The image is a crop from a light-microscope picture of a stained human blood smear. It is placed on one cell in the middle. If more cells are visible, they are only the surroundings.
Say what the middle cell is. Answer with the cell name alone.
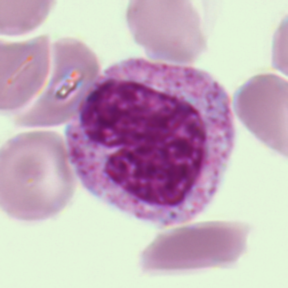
band neutrophil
